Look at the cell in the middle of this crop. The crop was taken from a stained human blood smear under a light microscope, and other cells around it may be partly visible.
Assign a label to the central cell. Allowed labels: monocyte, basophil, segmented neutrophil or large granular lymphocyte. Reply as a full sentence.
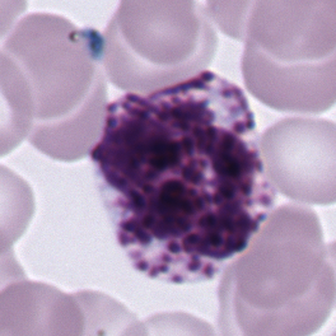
The middle of this crop holds a basophil.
